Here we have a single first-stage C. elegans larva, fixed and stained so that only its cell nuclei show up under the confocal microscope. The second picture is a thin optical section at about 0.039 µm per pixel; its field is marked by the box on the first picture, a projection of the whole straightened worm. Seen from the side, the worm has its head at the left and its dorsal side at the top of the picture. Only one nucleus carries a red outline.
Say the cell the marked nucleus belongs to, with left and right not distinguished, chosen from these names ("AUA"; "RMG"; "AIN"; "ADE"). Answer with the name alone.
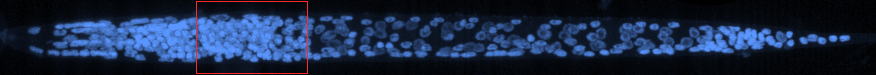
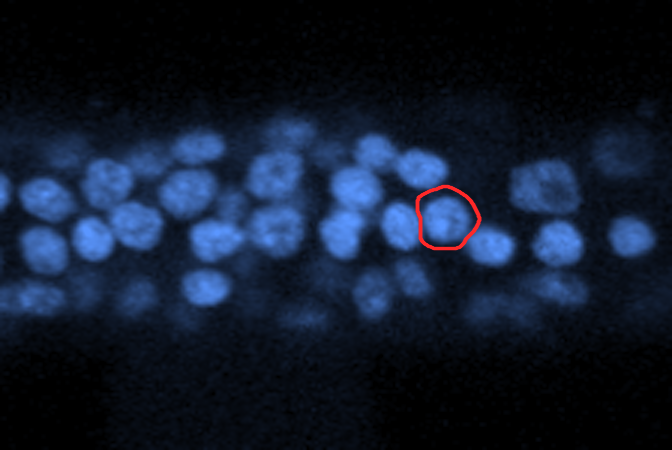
ADE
